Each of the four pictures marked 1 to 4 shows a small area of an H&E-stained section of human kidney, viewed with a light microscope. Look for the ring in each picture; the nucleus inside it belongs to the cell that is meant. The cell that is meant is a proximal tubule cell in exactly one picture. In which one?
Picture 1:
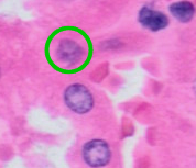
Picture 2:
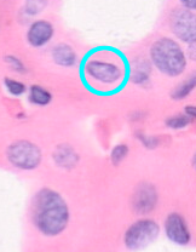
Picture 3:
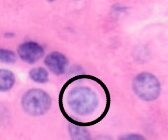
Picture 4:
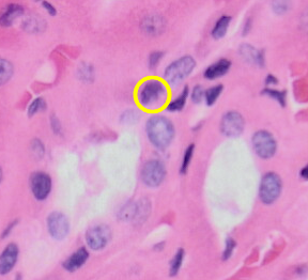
1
